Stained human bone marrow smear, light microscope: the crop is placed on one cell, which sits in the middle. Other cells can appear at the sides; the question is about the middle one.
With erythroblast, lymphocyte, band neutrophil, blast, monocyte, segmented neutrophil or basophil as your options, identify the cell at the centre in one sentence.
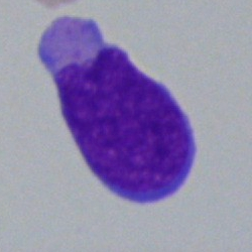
In the middle of this smear crop is a blast.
